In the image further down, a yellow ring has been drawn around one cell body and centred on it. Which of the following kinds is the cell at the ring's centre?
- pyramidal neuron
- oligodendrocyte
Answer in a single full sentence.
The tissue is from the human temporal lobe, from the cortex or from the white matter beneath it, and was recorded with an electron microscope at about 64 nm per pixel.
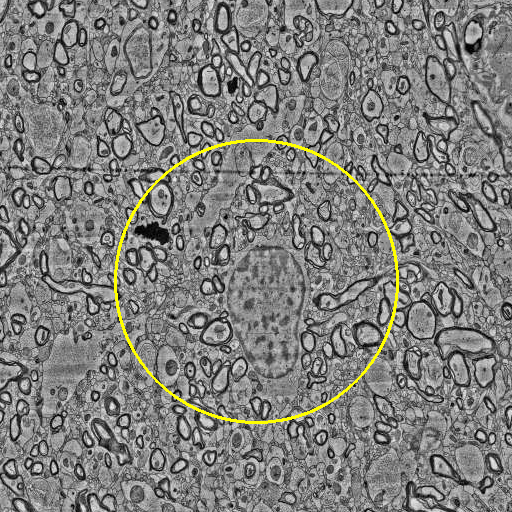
In the picture, the cell sitting at the centre of the yellow ring is an oligodendrocyte.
